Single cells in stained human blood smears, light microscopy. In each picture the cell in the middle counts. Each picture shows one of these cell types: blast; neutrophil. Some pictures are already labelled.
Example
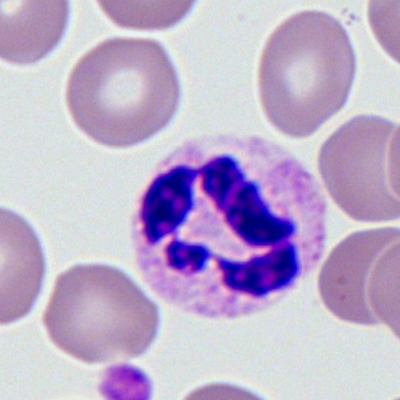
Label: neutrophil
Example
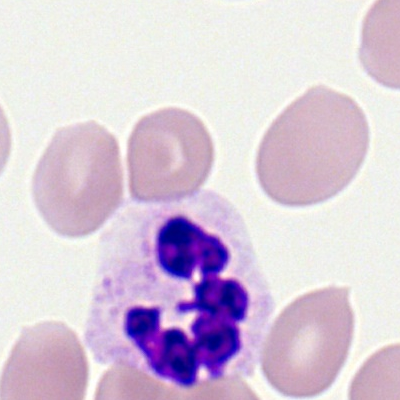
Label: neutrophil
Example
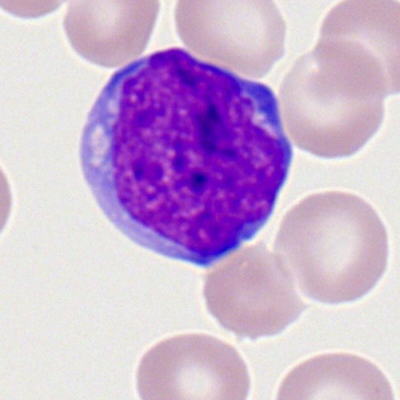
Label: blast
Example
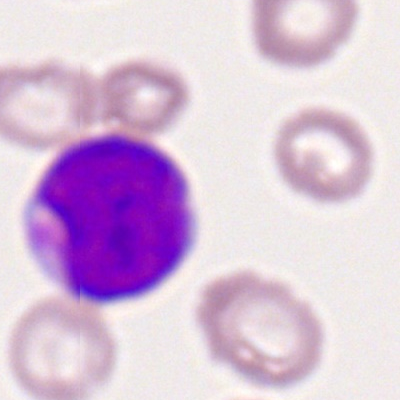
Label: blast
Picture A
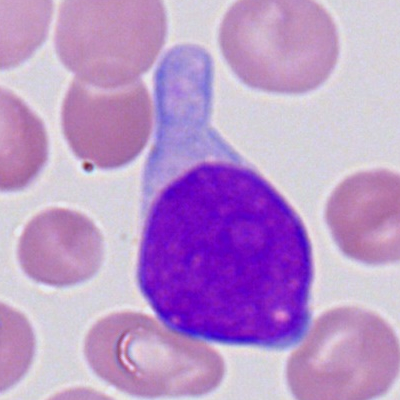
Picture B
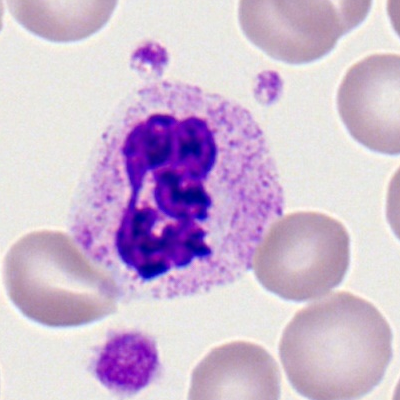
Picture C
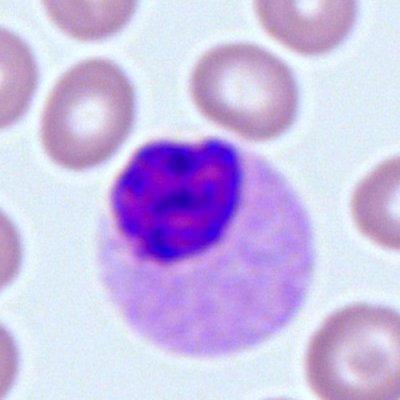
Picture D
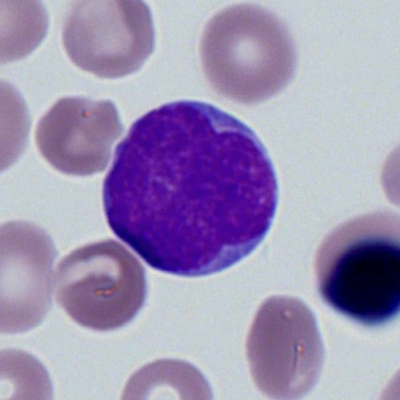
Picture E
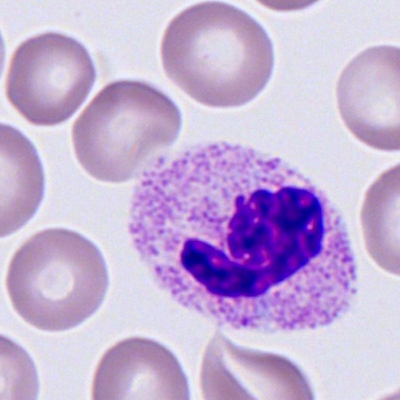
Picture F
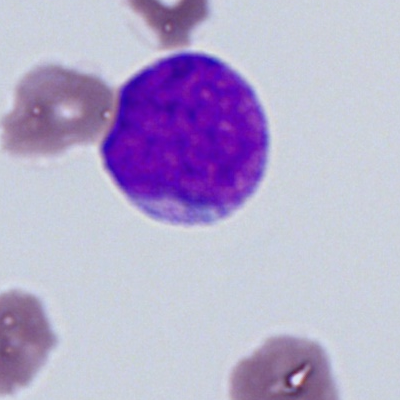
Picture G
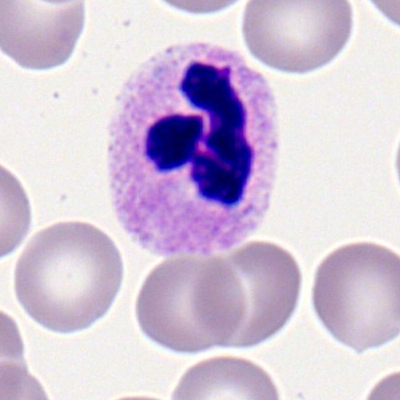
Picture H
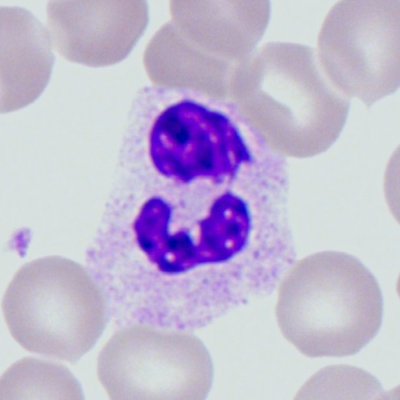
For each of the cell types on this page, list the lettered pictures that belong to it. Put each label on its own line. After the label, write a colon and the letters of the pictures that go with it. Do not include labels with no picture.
blast: A, D, F
neutrophil: B, C, E, G, H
